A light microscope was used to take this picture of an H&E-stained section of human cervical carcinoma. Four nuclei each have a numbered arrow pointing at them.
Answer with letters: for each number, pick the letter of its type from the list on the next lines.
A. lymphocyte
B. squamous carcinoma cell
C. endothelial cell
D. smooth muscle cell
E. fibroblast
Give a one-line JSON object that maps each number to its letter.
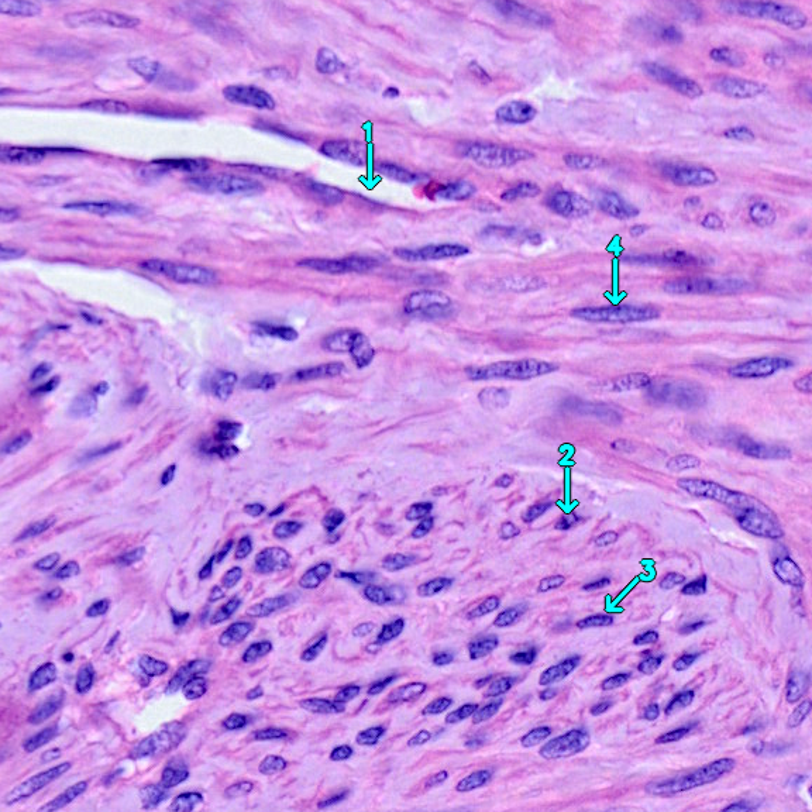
{"1": "C", "2": "D", "3": "D", "4": "D"}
